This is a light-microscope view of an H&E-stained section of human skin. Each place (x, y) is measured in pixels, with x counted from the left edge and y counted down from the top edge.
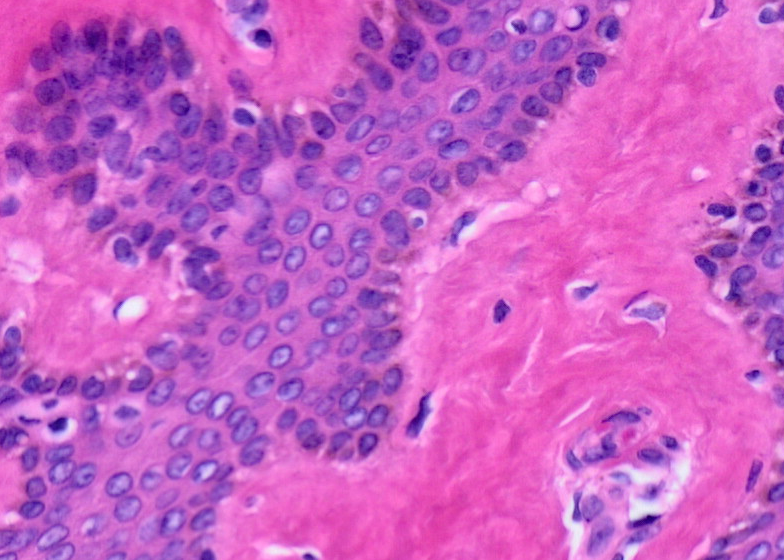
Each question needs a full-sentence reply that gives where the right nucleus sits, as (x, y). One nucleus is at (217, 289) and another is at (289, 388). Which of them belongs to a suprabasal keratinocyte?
The nucleus lying at (289, 388) is the nucleus of a suprabasal keratinocyte.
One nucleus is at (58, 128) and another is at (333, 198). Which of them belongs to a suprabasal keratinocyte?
Of these two nuclei, it is the one at (333, 198) that belongs to a suprabasal keratinocyte.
